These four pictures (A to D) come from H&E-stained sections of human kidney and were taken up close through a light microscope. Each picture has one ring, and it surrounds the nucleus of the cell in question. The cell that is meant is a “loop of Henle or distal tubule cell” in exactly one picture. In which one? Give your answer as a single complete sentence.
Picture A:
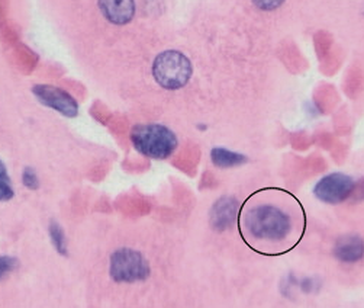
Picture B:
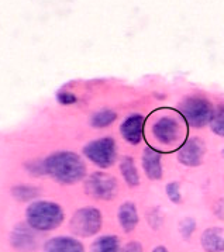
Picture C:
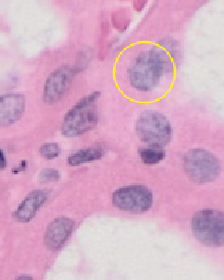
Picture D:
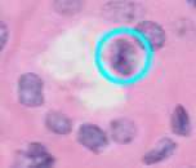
It is picture C that shows the “loop of Henle or distal tubule cell”.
